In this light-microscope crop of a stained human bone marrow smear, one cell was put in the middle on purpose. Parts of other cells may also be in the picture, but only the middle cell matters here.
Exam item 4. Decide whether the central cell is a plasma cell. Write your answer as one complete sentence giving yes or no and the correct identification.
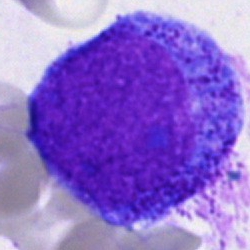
No, the middle cell is not a plasma cell, it being a promyelocyte.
